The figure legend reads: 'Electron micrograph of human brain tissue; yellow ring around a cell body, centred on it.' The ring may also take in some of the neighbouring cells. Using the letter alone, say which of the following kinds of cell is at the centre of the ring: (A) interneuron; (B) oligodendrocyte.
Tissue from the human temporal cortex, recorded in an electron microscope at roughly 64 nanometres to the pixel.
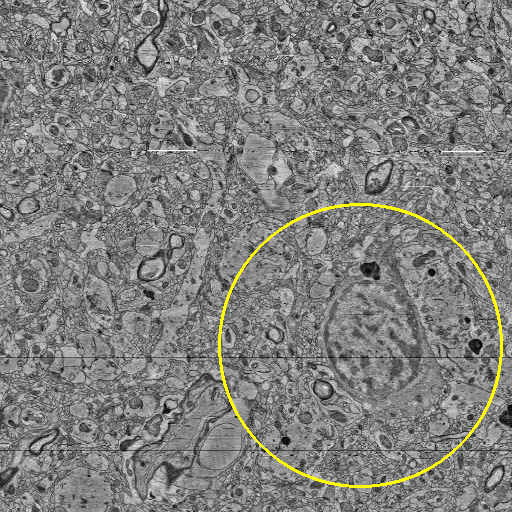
B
